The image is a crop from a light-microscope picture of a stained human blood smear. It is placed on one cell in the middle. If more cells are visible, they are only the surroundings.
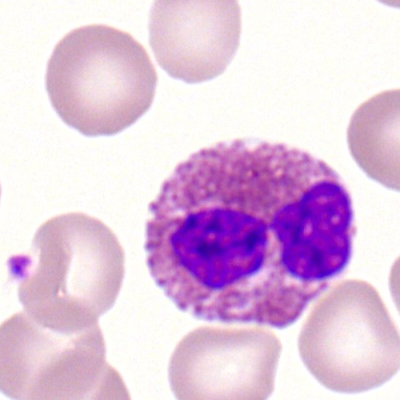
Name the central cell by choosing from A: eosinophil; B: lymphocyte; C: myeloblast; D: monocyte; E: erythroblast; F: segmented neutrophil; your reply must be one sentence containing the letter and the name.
Here the right option is A, as the cell in the middle is an eosinophil.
